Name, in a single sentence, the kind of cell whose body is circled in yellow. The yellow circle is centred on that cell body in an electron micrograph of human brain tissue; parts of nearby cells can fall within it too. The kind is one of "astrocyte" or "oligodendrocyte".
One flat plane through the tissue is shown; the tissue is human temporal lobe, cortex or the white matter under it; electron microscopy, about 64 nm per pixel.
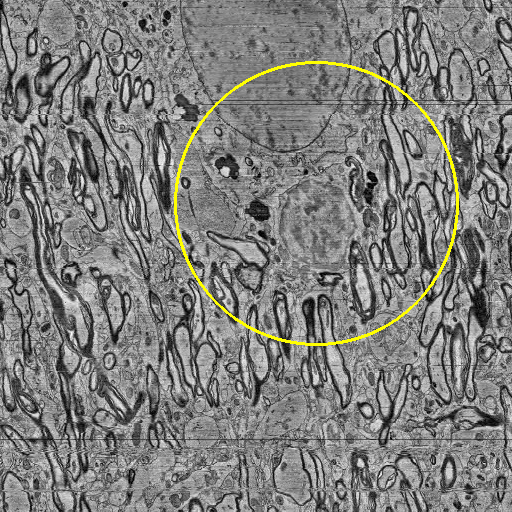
The circled cell body belongs to an oligodendrocyte.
